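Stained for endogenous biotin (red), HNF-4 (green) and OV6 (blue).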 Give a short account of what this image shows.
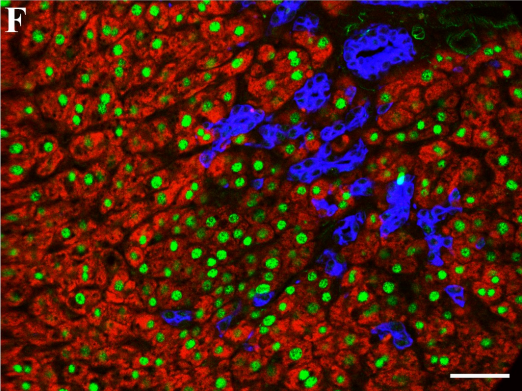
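This liver field shows hepatocytes with red granular cytoplasm and round green nuclei, with blue-stained ductules running between them. The hepatocytes are polygonal and tightly packed, each with one or two round green nuclei. Through the centre and right of the field, irregular branching blue cell strands weave between the hepatocytes, and near the top a larger blue ring encloses a small lumen. Hepatocytes lying close to the blue strands appear somewhat smaller and less intensely red than those farther away. Dark thin gaps between cells mark the sinusoidal spaces.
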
